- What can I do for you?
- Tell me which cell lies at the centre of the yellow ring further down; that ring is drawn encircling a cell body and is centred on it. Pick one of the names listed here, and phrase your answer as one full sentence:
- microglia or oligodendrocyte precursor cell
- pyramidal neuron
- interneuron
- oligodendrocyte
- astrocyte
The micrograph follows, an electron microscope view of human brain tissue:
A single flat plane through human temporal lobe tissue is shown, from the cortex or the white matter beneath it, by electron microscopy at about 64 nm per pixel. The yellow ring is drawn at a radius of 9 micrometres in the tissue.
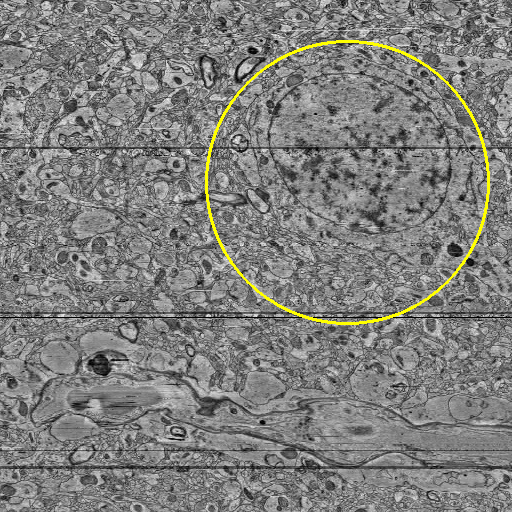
The cell whose body lies at the centre of the yellow ring is a pyramidal neuron.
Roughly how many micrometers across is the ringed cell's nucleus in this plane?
About 12 micrometres by about 10 micrometres in this plane.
